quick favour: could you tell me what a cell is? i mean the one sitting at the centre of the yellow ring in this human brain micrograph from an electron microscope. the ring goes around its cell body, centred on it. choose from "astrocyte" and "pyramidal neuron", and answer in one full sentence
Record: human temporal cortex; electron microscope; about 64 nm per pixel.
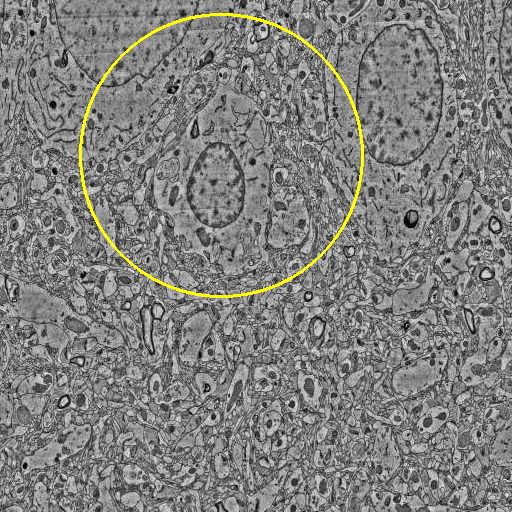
That's an astrocyte, the cell sitting at the centre of the yellow ring.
